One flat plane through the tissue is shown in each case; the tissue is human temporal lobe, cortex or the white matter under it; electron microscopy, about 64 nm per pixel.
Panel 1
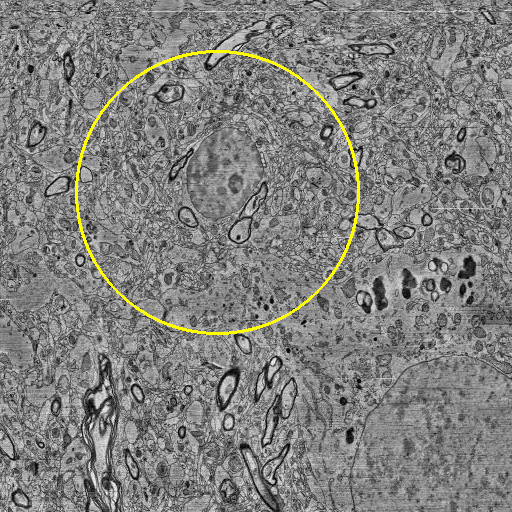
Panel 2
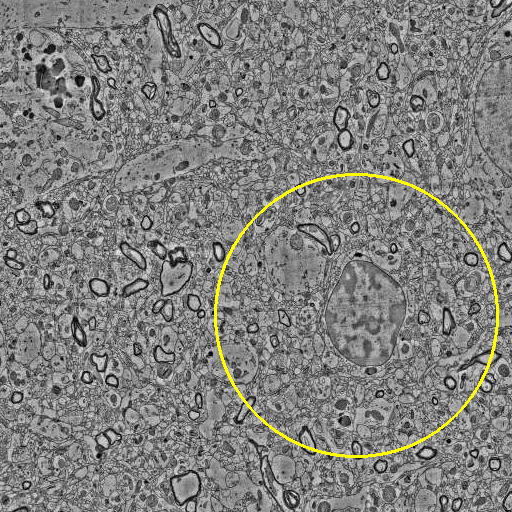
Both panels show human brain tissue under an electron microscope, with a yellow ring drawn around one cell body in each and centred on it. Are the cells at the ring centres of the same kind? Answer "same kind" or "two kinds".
two kinds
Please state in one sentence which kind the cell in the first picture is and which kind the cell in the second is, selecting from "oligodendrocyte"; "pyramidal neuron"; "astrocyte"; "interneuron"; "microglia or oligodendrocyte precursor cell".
The first ringed cell is an oligodendrocyte, the second ringed cell a microglial cell or oligodendrocyte precursor cell.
